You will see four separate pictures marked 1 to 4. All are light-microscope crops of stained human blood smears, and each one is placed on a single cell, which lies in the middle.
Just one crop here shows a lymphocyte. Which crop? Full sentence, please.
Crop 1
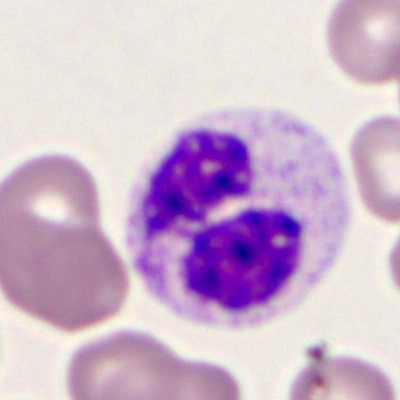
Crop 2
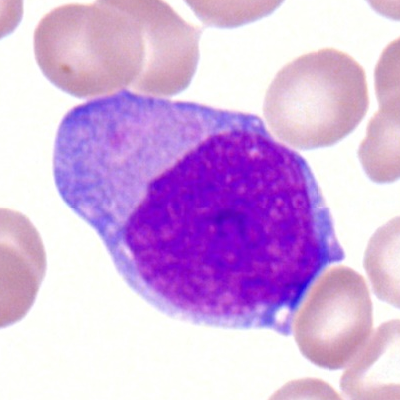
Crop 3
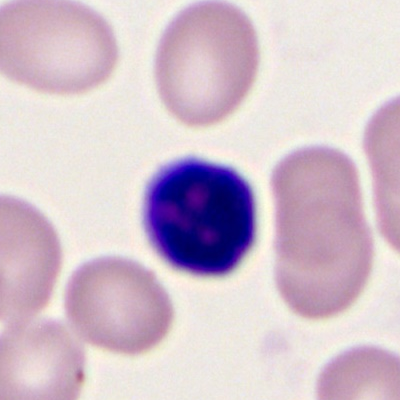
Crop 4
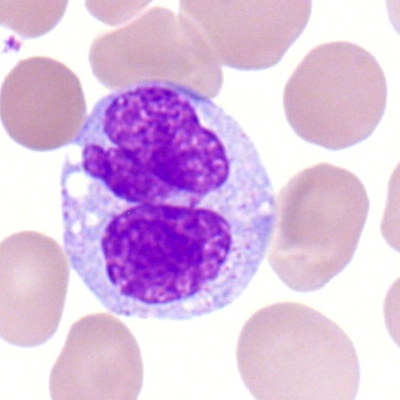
Of the crops shown, crop 3 depicts a lymphocyte.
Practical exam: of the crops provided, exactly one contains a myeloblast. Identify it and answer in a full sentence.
Crop 2, and no other, shows a myeloblast.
